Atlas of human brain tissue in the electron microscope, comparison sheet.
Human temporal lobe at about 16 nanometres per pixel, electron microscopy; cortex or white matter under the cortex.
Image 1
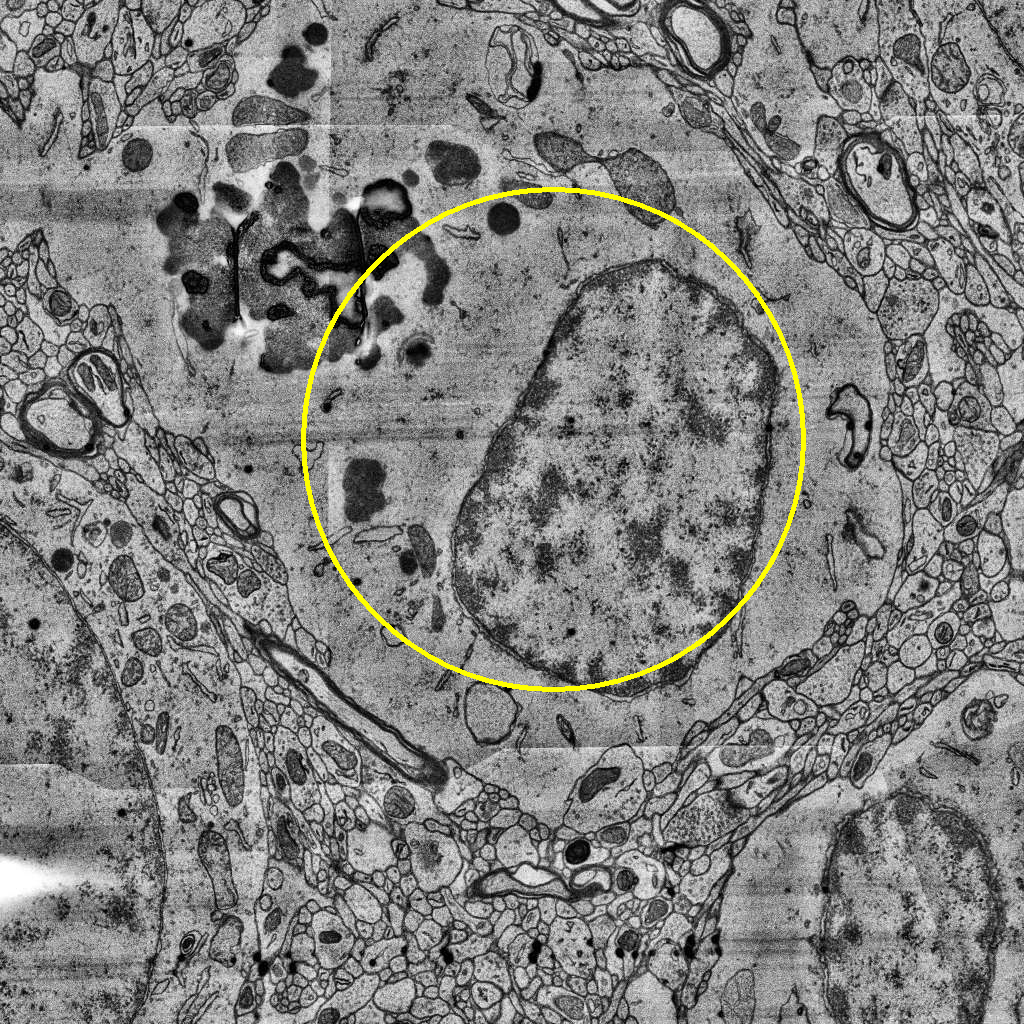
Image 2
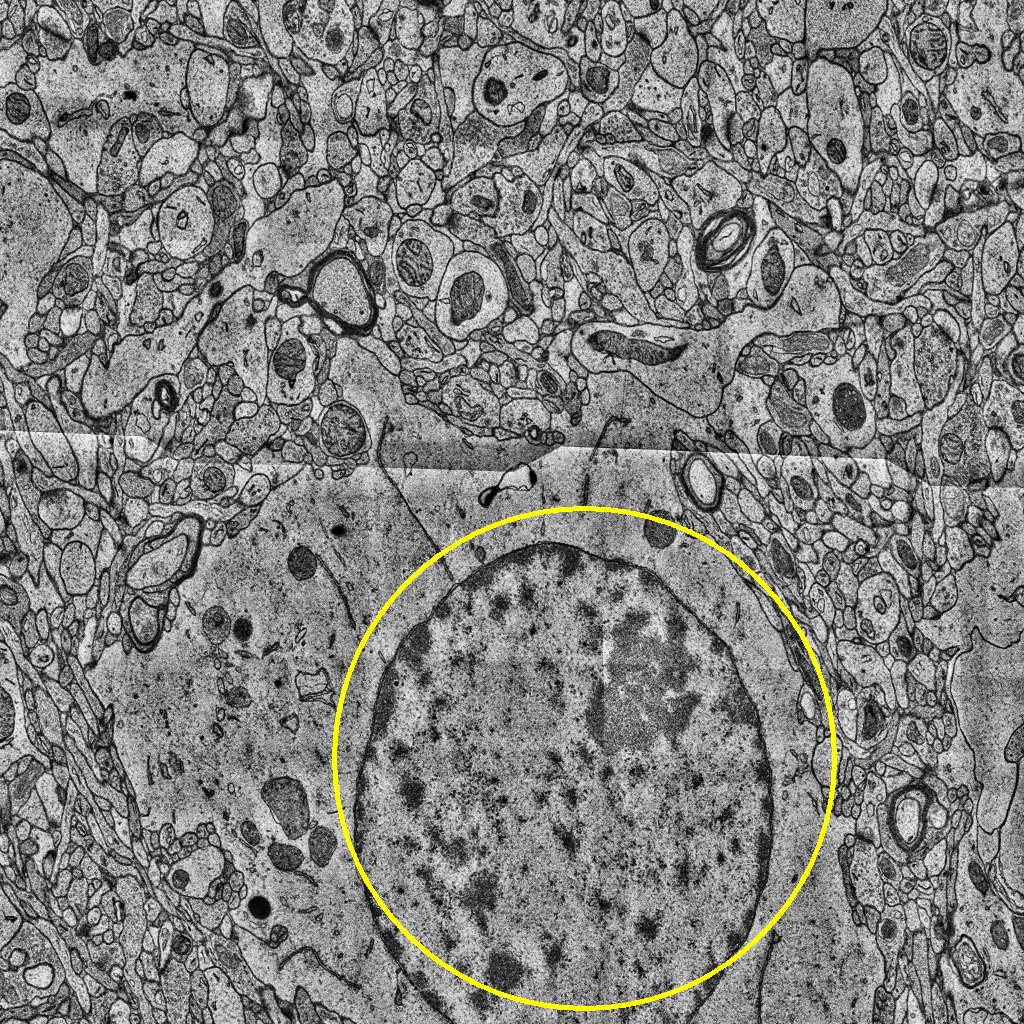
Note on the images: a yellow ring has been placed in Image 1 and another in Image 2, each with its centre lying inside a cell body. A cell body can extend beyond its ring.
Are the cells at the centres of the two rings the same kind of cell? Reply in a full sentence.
Yes, both cells are of the same kind.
